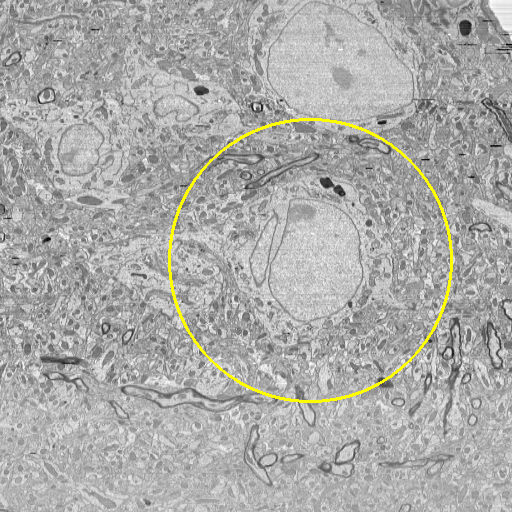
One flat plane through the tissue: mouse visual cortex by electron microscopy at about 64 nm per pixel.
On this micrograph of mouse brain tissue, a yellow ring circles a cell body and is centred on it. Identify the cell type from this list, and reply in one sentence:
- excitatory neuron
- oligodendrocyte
The cell at the centre is an excitatory neuron.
